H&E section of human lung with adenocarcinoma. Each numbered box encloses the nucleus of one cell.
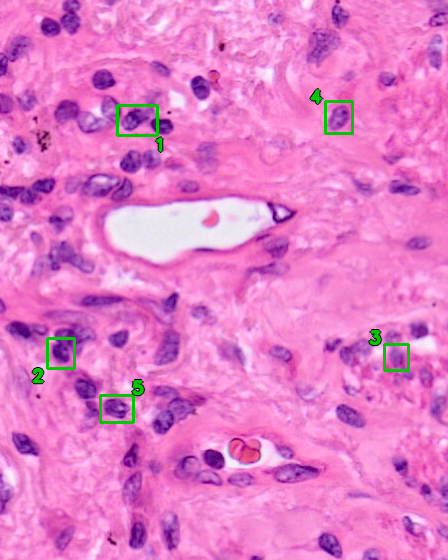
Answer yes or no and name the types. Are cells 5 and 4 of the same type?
No, cell 5 is a lymphocyte, but cell 4 is a mast cell.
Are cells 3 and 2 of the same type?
No, with respect, cell 3 is a smooth muscle cell or pericyte and cell 2 is a lymphocyte.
